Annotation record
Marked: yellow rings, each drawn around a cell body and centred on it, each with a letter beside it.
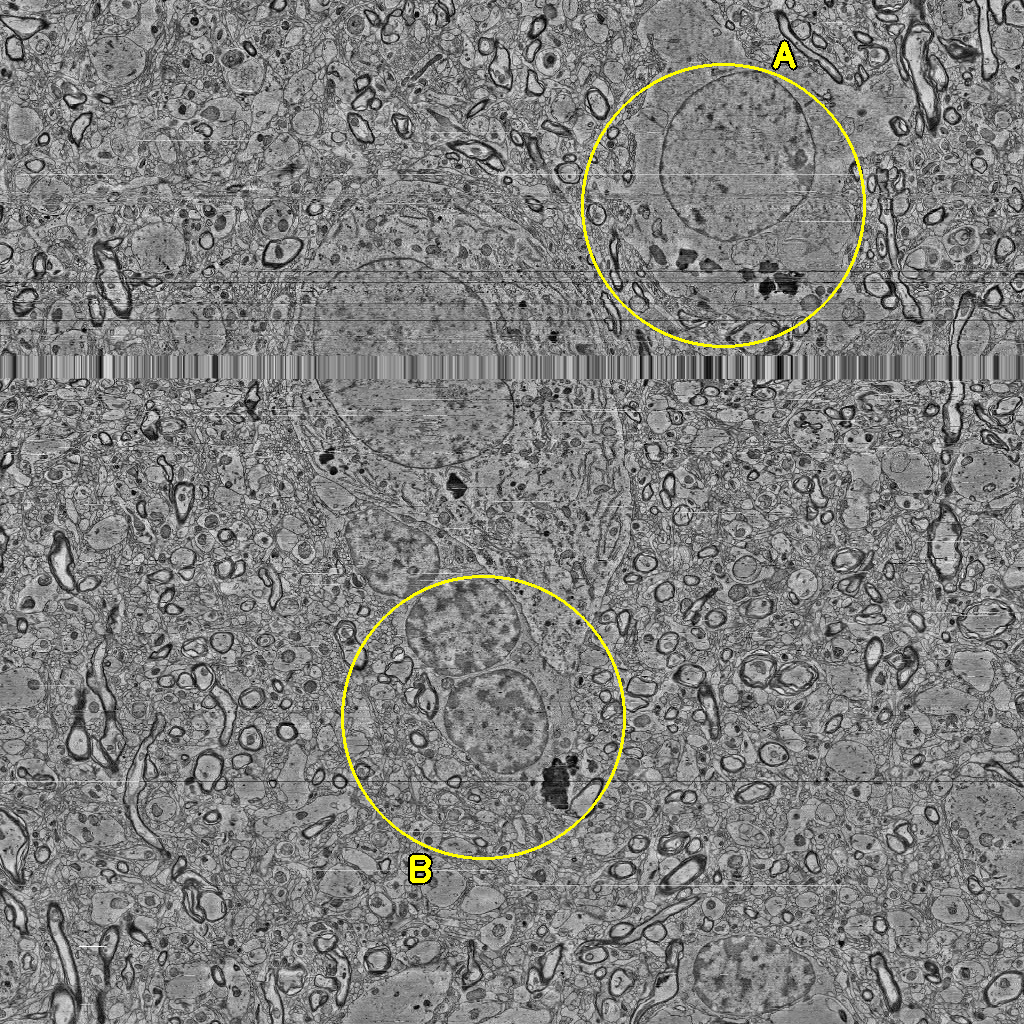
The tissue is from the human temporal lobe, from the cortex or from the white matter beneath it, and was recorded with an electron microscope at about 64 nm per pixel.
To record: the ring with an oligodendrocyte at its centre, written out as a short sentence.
The ring centred on it is ring B.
